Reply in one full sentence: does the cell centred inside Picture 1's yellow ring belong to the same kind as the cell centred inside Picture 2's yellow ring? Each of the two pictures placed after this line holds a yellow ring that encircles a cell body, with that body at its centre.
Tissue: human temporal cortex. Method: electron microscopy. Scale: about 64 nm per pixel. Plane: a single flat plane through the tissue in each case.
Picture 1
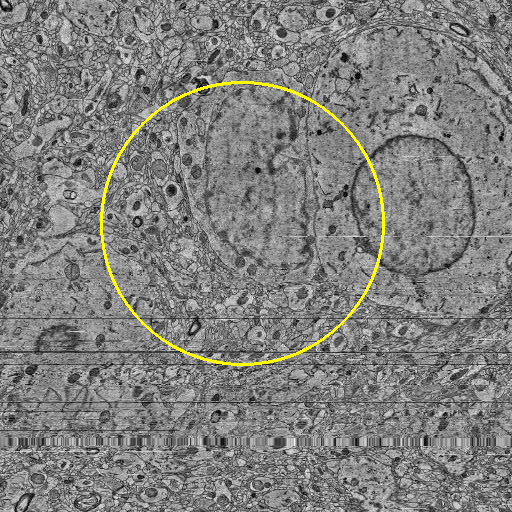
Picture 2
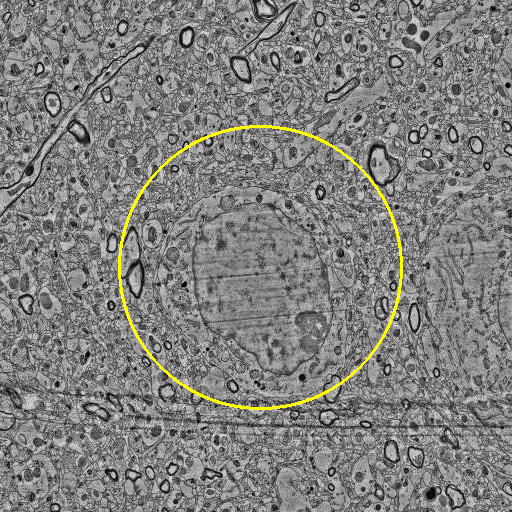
Yes, the ring-centred cells in Picture 1 and Picture 2 are of one and the same kind.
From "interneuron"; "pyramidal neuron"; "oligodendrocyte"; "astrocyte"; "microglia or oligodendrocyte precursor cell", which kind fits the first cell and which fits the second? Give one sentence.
Each cell at the centre of a ring is an interneuron.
